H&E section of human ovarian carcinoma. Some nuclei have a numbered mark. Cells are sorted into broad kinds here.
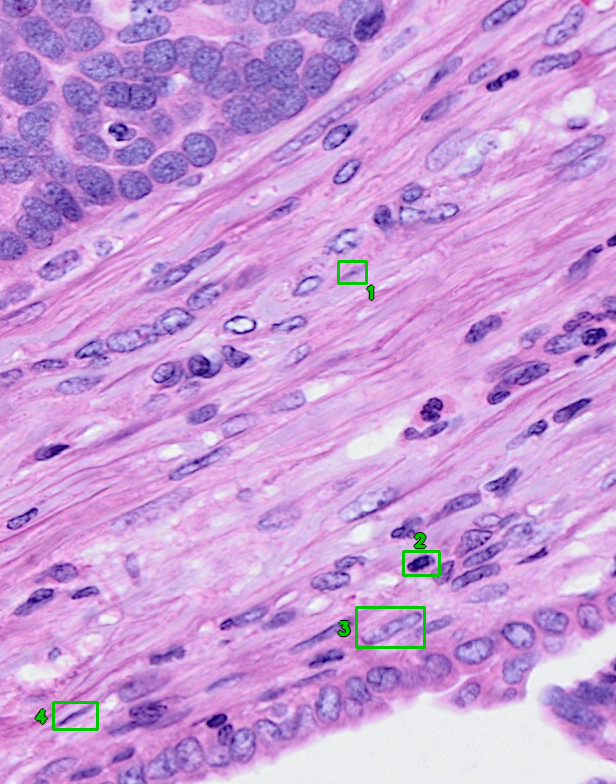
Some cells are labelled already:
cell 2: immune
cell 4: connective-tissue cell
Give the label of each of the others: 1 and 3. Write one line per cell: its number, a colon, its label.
1: connective-tissue cell
3: connective-tissue cell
